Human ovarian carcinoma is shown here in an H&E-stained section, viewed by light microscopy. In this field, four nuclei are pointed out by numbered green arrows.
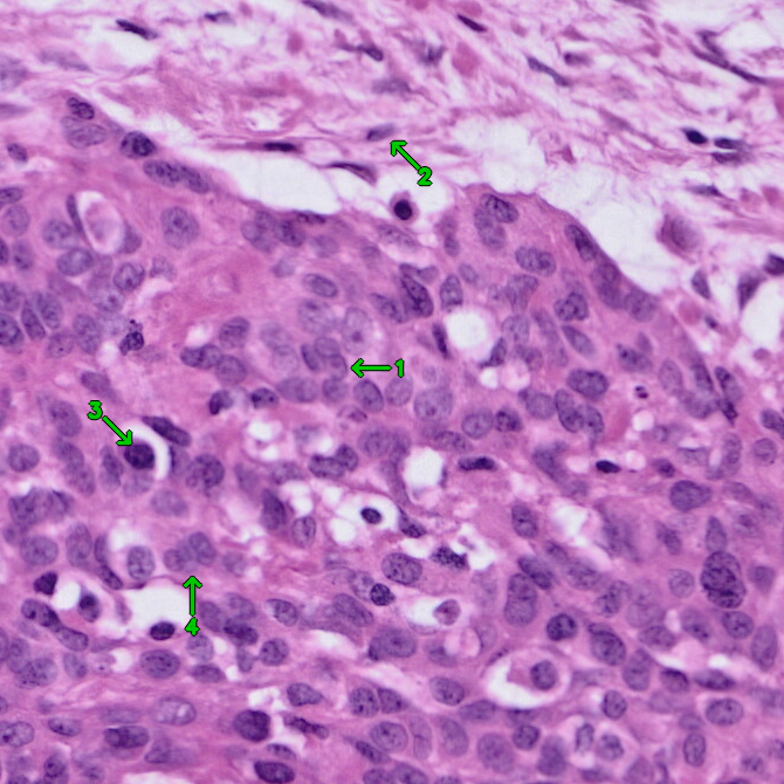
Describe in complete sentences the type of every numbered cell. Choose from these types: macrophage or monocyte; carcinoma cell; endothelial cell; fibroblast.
Cell 1 is a carcinoma cell, cell 2 is a fibroblast, cell 3 is a carcinoma cell and cell 4 is a carcinoma cell.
